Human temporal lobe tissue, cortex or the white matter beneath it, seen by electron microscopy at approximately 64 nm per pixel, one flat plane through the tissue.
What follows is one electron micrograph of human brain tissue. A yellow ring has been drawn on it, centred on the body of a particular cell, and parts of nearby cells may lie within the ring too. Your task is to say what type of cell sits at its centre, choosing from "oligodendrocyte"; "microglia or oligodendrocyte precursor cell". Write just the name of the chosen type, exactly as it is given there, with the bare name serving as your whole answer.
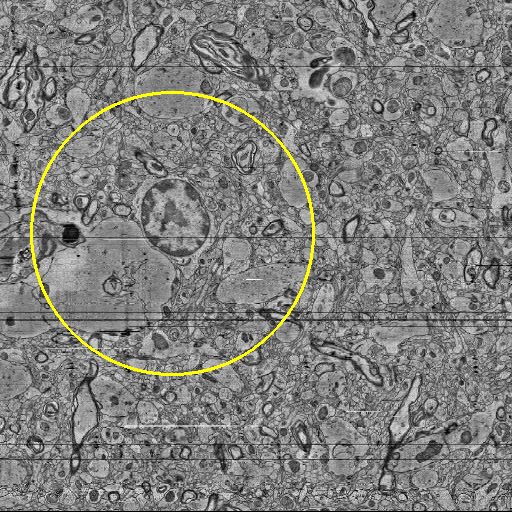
microglia or oligodendrocyte precursor cell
